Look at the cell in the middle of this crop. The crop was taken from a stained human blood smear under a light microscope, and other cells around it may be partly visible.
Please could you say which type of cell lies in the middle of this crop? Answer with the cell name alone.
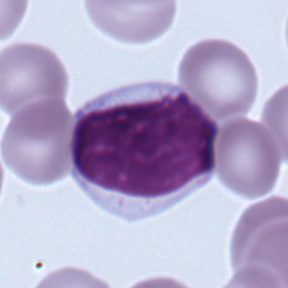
large granular lymphocyte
